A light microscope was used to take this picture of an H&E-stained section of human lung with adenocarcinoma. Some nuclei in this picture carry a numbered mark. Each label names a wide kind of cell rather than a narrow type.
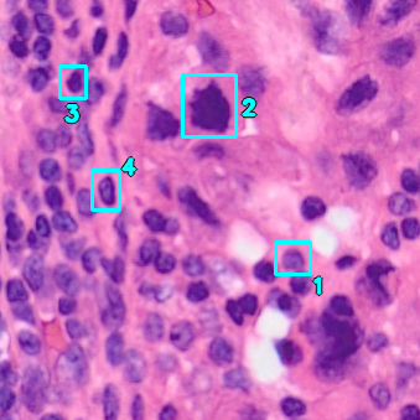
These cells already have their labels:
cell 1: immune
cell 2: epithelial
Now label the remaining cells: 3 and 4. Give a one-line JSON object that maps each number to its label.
{"3": "immune", "4": "immune"}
